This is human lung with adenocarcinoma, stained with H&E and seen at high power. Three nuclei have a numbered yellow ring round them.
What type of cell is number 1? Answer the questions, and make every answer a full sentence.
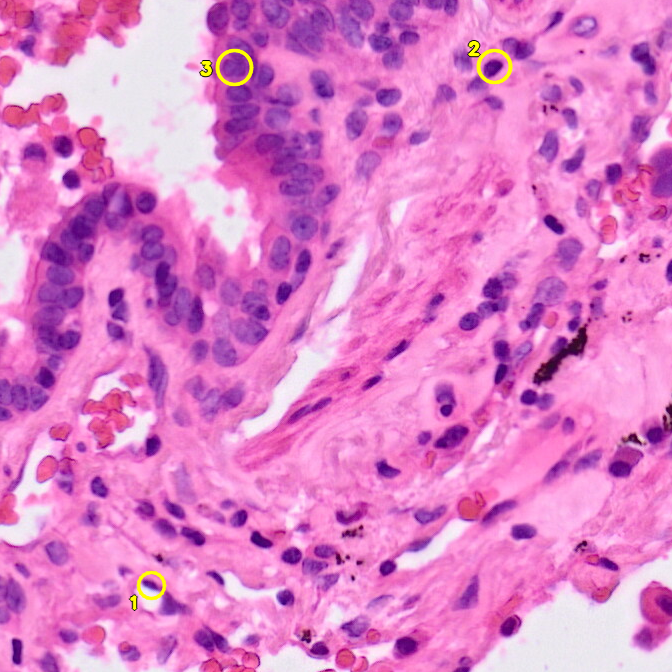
The cell that carries the label 1 is an endothelial cell.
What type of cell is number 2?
Number 2 among the marked cells is a lymphocyte.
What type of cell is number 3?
In the tissue shown, cell 3 is a ciliated epithelial cell.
